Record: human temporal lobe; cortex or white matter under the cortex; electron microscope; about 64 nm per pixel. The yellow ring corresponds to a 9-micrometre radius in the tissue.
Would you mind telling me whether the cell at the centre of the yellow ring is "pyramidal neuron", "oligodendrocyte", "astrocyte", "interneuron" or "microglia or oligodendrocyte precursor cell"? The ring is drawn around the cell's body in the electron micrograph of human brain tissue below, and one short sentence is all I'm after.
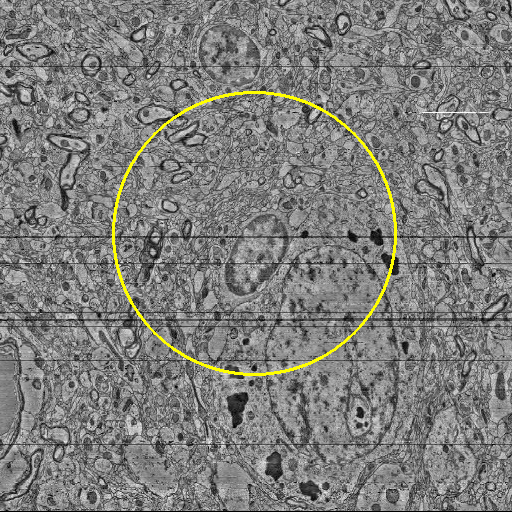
In the centre of the ring lies an oligodendrocyte.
